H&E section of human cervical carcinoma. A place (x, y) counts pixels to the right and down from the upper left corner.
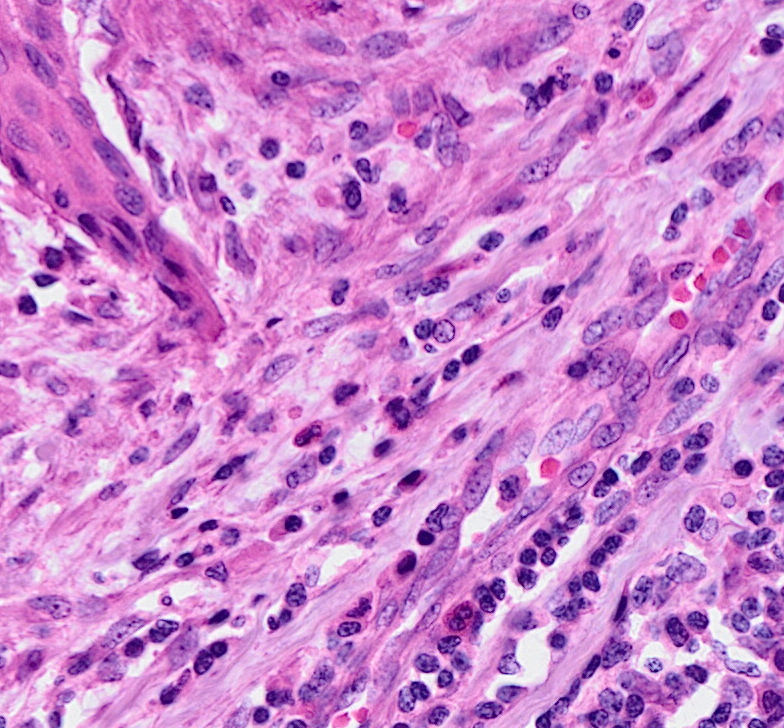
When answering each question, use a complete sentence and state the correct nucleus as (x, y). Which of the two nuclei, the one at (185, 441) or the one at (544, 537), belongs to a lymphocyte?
The nucleus at (544, 537) is attributed to a lymphocyte, unlike the other nucleus.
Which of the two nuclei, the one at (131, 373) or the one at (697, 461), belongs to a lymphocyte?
Of the two, the nucleus at (697, 461) is the one contained in a lymphocyte.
